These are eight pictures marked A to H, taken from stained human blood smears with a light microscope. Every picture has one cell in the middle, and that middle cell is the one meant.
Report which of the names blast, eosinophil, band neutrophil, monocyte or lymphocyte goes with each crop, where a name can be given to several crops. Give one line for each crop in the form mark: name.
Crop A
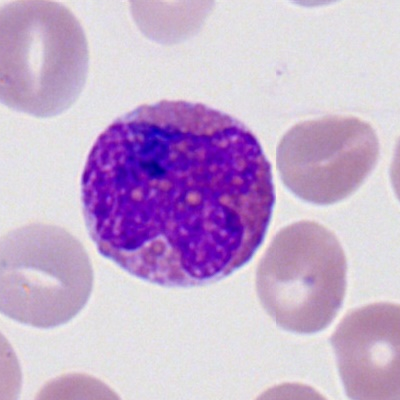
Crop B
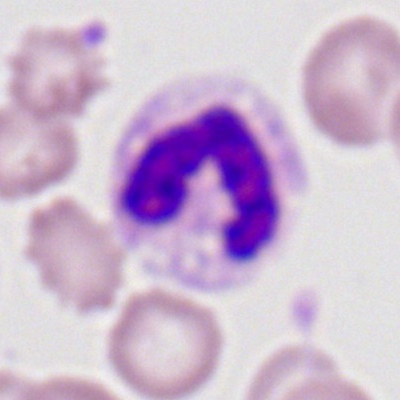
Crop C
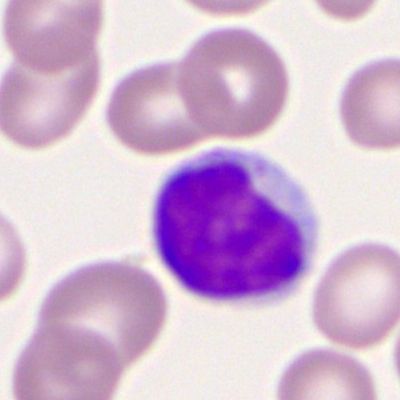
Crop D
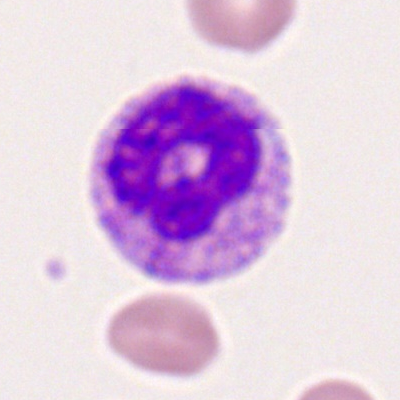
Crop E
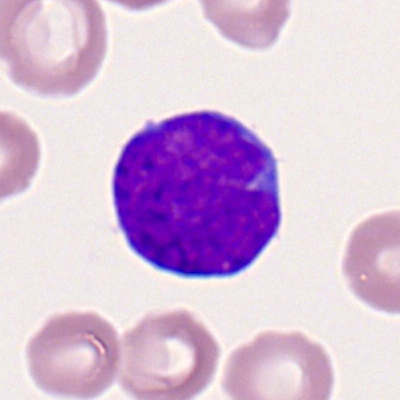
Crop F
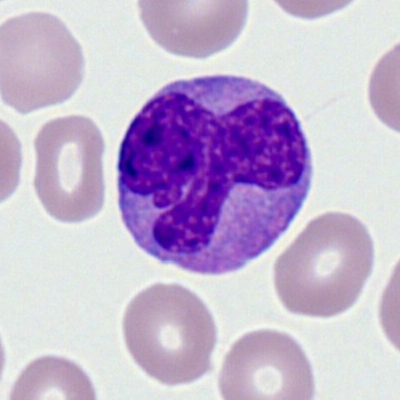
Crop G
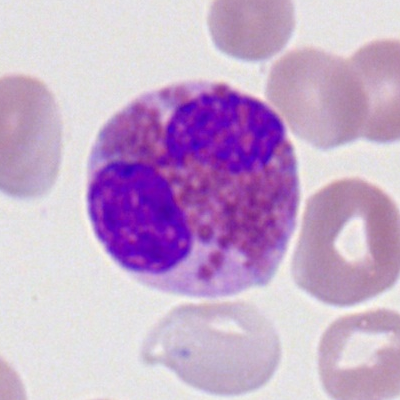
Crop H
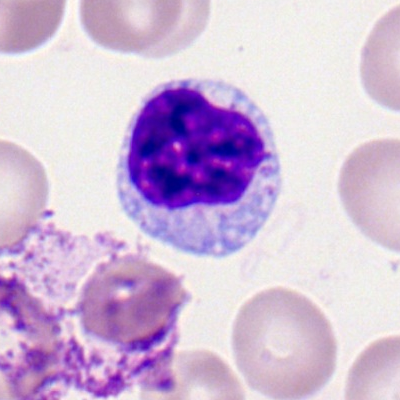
A: eosinophil
B: band neutrophil
C: lymphocyte
D: band neutrophil
E: blast
F: monocyte
G: eosinophil
H: lymphocyte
